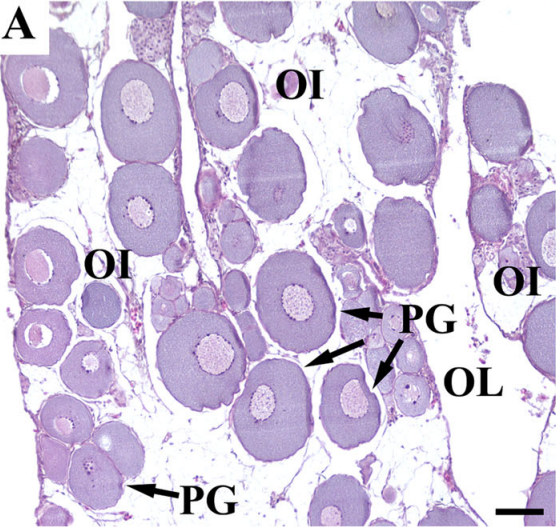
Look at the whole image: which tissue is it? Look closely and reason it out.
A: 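Ovary. Many round to oval oocytes of varying size with central nuclei. Oocytes packed in lamellae separated by loose stroma and an open lumen.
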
